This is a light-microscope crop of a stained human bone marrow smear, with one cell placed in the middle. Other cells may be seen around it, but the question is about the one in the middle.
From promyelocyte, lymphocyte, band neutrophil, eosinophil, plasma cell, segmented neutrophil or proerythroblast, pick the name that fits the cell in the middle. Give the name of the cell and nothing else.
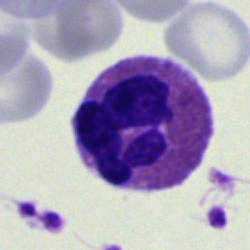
eosinophil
